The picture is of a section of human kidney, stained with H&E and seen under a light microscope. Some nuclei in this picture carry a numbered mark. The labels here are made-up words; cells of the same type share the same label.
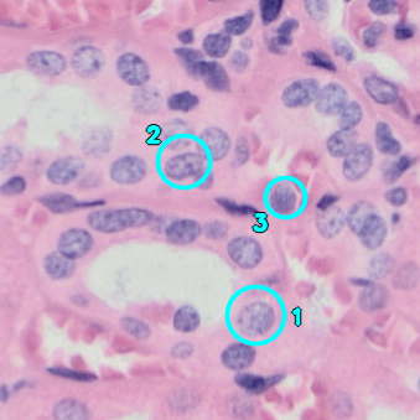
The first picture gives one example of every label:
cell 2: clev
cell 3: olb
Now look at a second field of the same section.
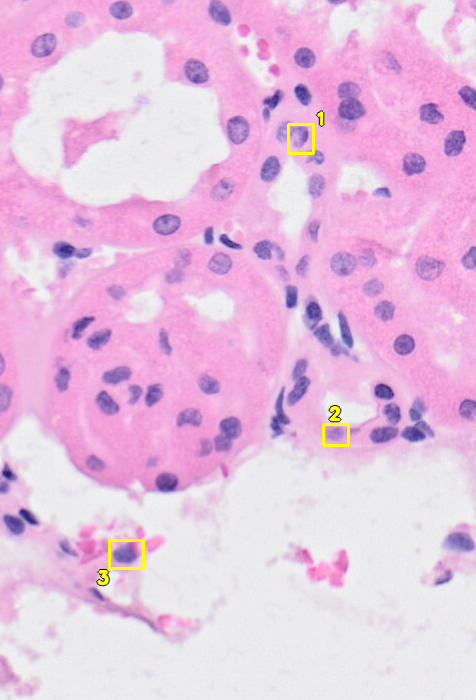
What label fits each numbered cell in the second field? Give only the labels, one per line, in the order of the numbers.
clev
clev
olb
